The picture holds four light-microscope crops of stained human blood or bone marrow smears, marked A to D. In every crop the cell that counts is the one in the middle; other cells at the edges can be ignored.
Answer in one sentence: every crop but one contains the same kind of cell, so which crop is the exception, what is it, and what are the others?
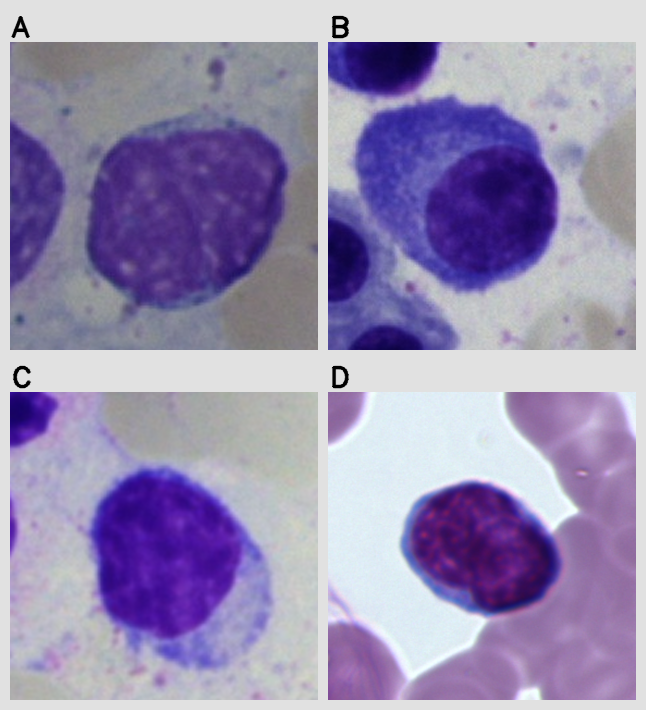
Of all the crops, only crop B shows a plasma cell; the others show lymphocytes.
